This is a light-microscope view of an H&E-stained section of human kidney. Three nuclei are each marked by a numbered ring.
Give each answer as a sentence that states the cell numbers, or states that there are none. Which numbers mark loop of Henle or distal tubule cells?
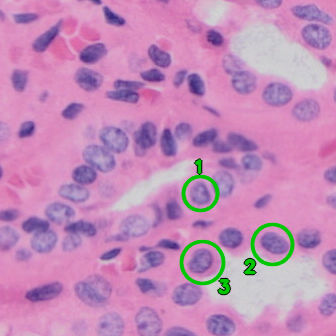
Identification: the cells with numbers 2 and 3 are loop of Henle or distal tubule cells.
